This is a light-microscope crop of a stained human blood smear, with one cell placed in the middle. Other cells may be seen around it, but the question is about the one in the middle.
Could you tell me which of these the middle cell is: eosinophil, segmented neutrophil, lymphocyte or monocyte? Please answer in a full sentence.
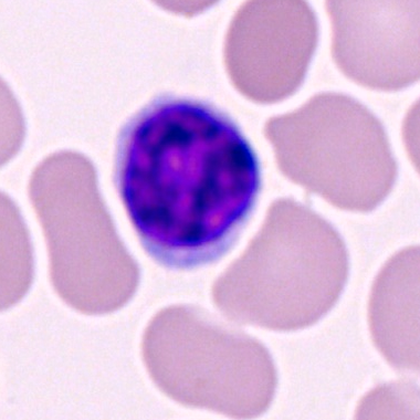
The cell nearest the centre of this crop is a lymphocyte.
